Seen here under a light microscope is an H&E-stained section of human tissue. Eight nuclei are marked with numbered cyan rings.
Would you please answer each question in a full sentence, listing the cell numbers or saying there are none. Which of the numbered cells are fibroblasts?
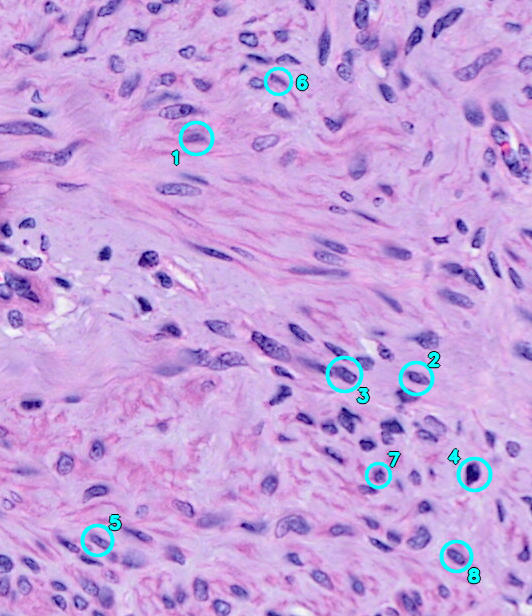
Here, the cells that carry numbers 2 and 3 are fibroblasts.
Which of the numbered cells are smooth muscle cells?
The cells with the number labels 1, 5, 6, 7 and 8 are smooth muscle cells.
